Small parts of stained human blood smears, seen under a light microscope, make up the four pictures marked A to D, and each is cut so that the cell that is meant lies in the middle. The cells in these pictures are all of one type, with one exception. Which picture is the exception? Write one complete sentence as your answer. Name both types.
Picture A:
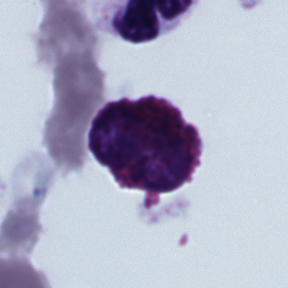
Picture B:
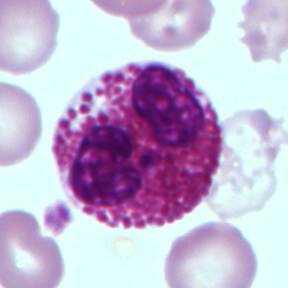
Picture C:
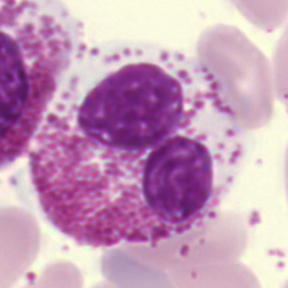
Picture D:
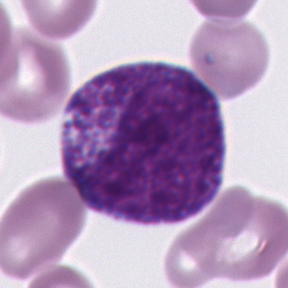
Unlike the rest, which show eosinophils, picture D shows a myelocyte.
